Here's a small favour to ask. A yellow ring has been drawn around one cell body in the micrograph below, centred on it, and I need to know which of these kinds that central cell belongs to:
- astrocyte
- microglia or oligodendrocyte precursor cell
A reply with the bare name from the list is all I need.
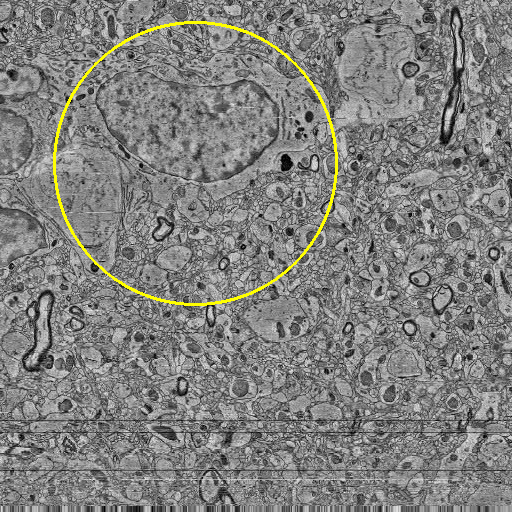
microglia or oligodendrocyte precursor cell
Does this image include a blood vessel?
Yes, a blood vessel is present in this picture.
